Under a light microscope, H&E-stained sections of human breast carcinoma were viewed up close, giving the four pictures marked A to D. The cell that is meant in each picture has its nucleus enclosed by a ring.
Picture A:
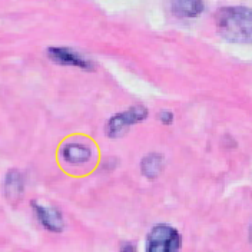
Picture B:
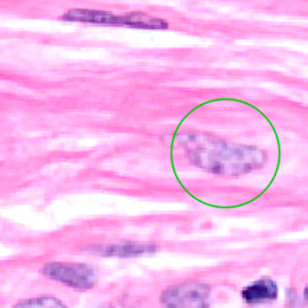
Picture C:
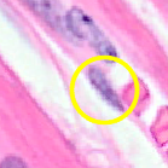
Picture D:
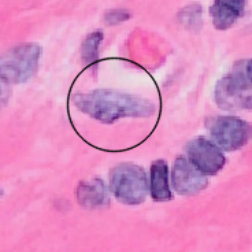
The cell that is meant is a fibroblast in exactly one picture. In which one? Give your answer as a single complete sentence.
Picture B shows the fibroblast.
